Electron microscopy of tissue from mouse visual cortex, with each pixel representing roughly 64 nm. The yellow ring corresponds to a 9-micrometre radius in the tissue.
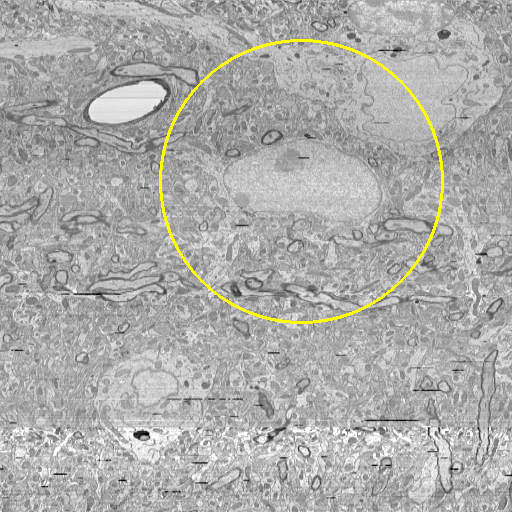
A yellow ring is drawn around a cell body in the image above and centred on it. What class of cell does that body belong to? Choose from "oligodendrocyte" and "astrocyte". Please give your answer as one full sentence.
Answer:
The yellow ring above is centred on the cell body of an astrocyte.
